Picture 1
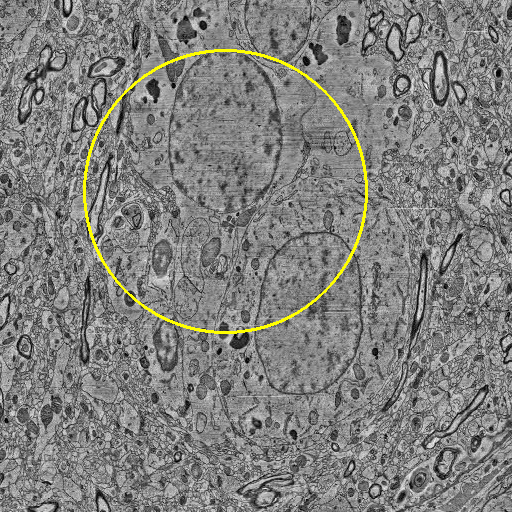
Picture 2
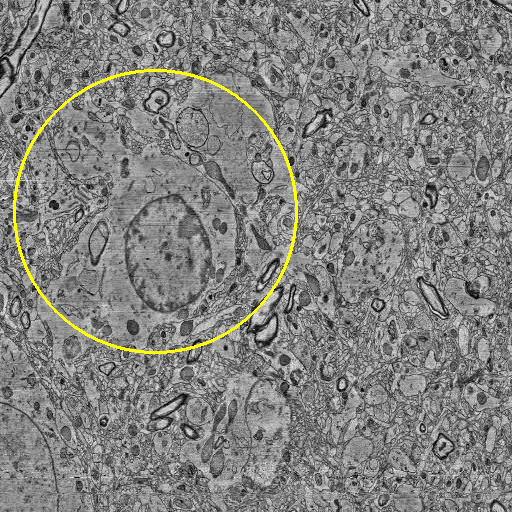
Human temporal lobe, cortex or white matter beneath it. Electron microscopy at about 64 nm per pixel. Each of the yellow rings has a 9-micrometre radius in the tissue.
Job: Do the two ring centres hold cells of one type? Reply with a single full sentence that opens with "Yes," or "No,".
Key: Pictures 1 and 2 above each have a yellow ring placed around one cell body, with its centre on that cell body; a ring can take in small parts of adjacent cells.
Yes, the cells at the two ring centres are of one single type.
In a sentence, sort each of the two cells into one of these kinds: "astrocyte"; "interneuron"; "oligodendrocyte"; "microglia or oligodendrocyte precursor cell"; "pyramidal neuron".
Each of the two rings is centred on an astrocyte.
